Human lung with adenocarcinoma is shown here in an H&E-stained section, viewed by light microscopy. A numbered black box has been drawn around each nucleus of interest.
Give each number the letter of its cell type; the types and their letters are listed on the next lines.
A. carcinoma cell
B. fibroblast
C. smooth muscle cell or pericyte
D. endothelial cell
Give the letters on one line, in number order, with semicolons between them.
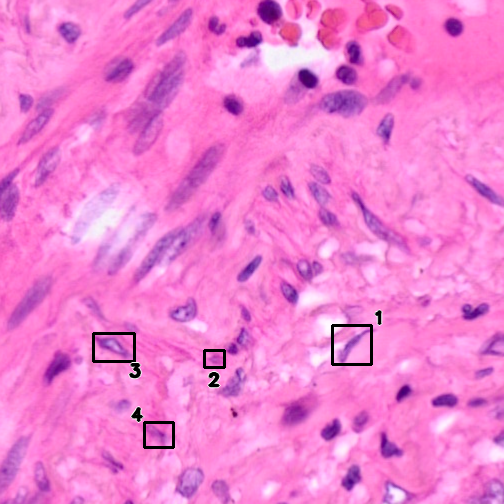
B; C; C; C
